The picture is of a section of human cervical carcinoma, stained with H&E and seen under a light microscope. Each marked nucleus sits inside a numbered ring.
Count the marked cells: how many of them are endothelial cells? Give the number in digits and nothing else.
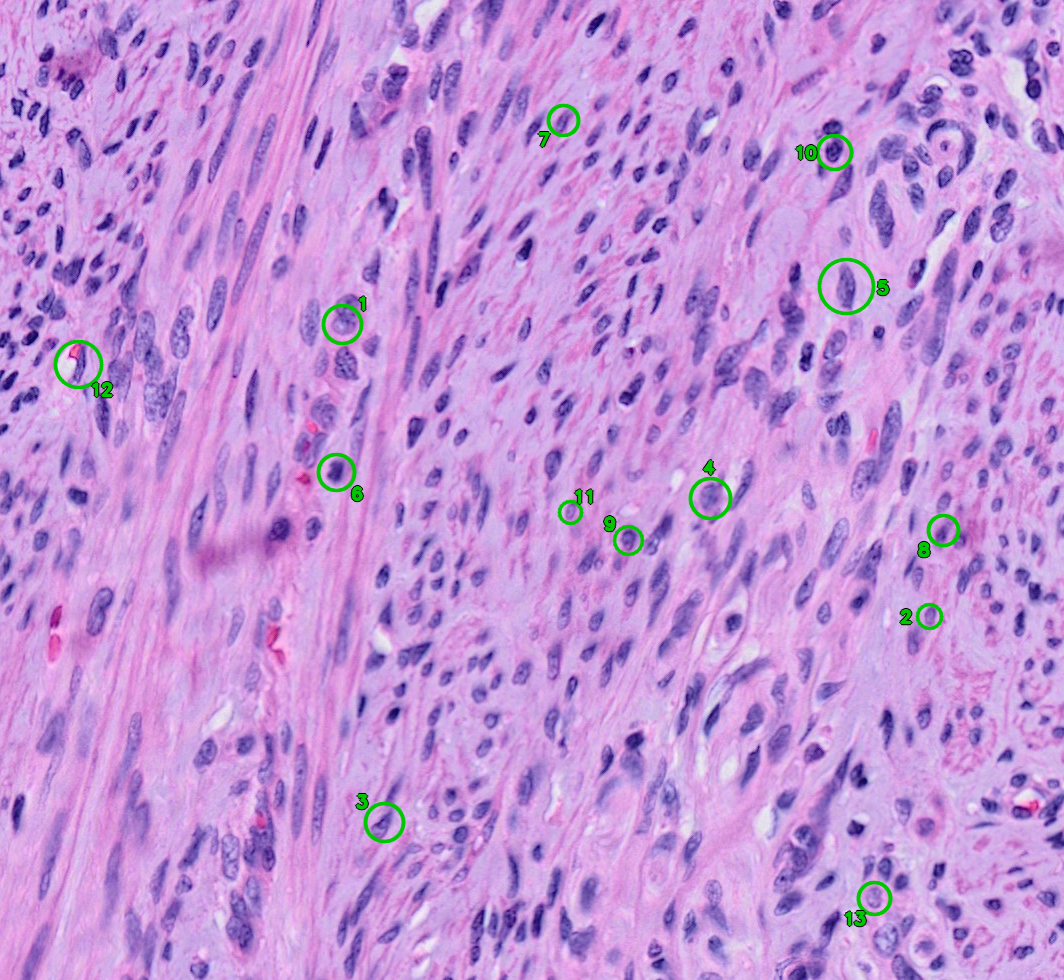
4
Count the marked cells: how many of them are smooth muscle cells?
6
